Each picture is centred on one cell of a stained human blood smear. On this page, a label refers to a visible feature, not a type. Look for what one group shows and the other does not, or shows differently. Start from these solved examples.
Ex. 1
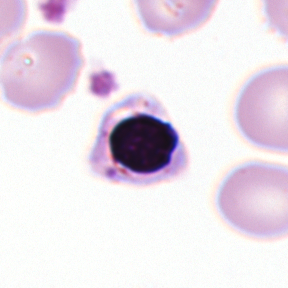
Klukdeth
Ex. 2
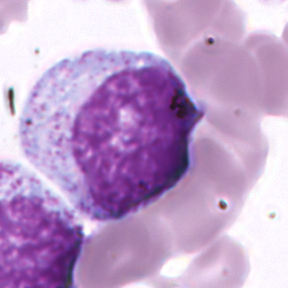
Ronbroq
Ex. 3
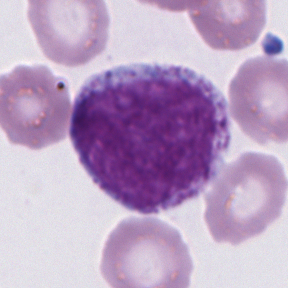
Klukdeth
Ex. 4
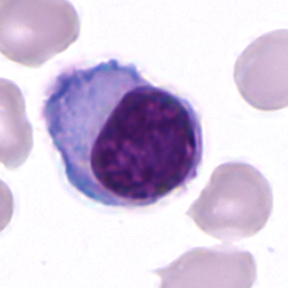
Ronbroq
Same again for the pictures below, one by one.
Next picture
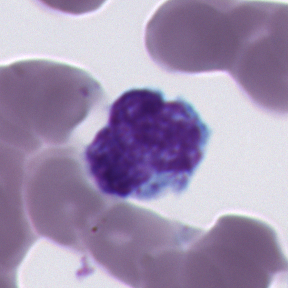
Klukdeth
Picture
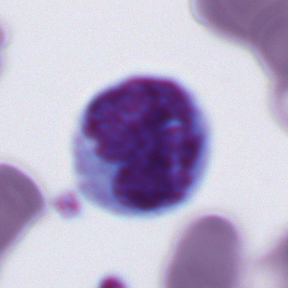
Klukdeth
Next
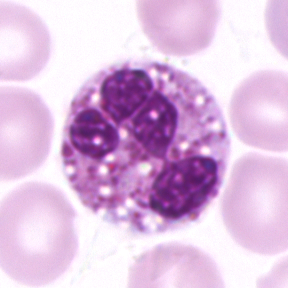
Ronbroq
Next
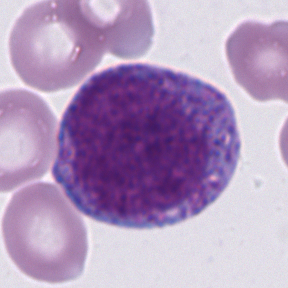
Klukdeth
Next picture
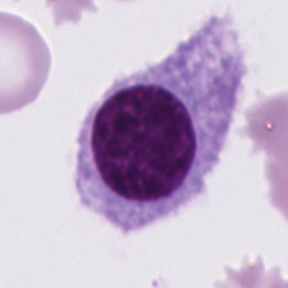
Ronbroq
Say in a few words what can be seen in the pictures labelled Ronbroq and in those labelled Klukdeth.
In Ronbroq: abundant cytoplasm. In Klukdeth: scant cytoplasm.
